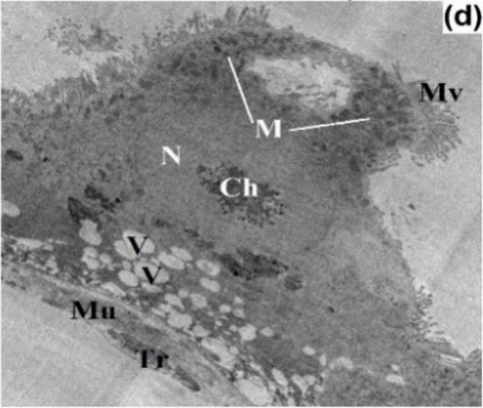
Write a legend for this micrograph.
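This is an epithelial cell of the insect midgut, seen by transmission electron microscopy. Its free surface carries a brush border of microvilli, short and somewhat sparse, and just beneath them the apical cytoplasm is crowded with mitochondria. A large nucleus fills the middle of the cell, with clumps of dense chromatin. The basal cytoplasm holds numerous small, clear, rounded vacuoles, giving it a bubbly look. Beneath the cell runs a thin band of muscle, and a tracheole lies alongside it at the base of the epithelium.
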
